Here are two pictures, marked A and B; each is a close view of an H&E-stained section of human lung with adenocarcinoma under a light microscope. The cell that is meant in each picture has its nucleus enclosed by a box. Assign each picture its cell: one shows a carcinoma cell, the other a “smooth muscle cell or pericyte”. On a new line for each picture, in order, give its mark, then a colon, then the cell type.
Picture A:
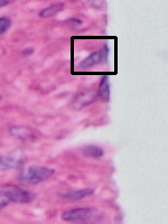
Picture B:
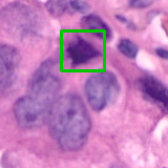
A: smooth muscle cell or pericyte
B: carcinoma cell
